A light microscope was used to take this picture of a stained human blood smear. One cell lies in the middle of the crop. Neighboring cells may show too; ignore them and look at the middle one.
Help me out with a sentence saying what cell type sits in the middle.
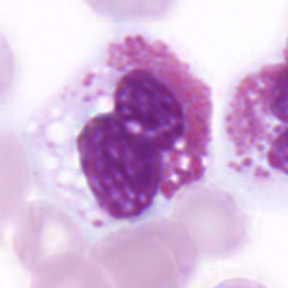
This crop is built around an eosinophil at its centre.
